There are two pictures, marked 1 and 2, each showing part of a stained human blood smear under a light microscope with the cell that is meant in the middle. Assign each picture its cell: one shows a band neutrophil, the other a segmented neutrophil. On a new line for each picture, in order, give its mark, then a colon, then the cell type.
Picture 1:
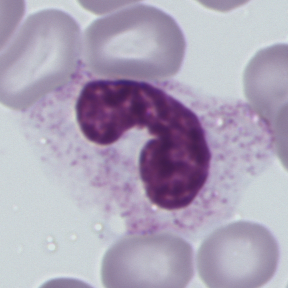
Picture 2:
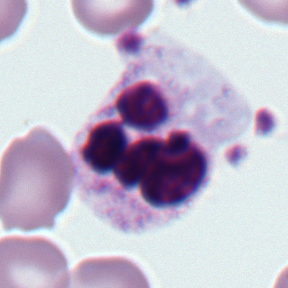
1: band neutrophil
2: segmented neutrophil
